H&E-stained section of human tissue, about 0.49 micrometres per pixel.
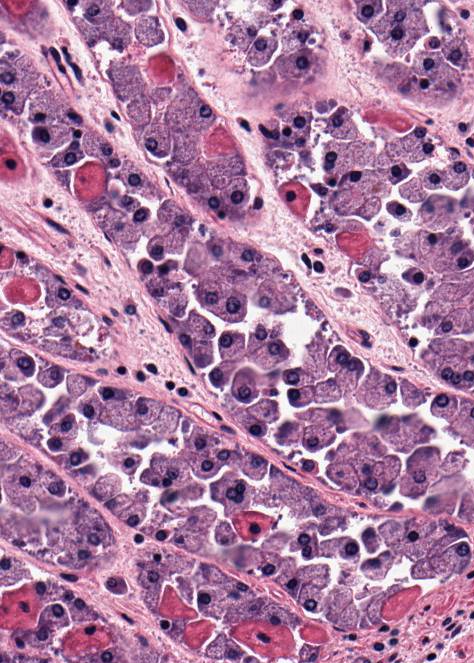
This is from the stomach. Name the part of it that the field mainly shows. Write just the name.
fundic glands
